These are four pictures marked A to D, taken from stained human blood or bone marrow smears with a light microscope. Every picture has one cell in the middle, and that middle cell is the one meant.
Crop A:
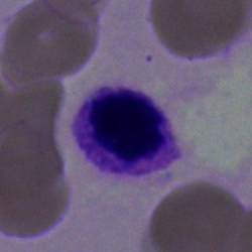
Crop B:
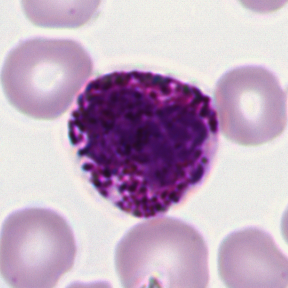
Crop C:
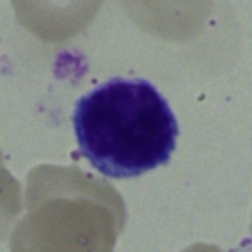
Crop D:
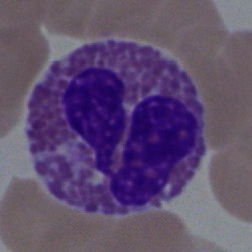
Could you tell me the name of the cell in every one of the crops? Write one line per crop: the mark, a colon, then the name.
A: basophil
B: basophil
C: lymphocyte
D: eosinophil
